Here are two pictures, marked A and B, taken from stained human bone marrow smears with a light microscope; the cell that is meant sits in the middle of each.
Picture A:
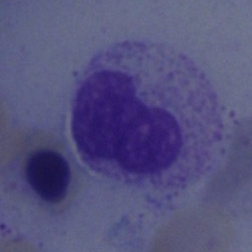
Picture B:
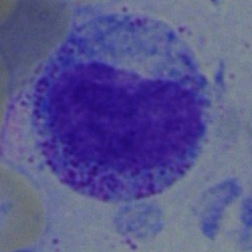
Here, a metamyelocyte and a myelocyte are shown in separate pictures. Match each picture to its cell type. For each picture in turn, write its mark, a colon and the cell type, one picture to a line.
A: metamyelocyte
B: myelocyte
